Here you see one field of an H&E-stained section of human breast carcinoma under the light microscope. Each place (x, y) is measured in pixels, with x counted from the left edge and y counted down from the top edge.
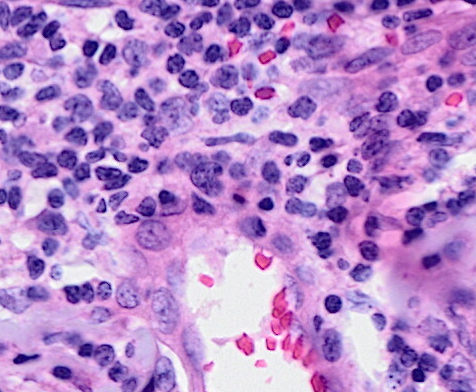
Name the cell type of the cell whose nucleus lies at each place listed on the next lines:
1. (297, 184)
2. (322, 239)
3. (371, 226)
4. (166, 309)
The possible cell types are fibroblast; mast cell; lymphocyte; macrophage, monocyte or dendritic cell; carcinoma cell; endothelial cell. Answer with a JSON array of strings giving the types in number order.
["lymphocyte", "lymphocyte", "lymphocyte", "endothelial cell"]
